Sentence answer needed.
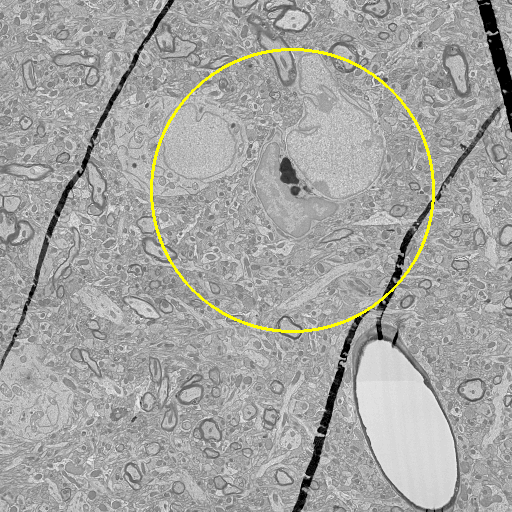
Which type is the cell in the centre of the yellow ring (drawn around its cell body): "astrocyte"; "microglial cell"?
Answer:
In the centre of the yellow ring is a microglial cell.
